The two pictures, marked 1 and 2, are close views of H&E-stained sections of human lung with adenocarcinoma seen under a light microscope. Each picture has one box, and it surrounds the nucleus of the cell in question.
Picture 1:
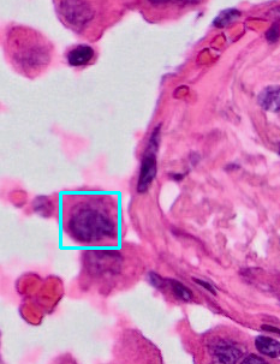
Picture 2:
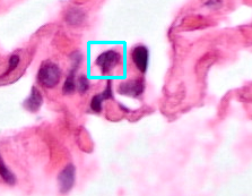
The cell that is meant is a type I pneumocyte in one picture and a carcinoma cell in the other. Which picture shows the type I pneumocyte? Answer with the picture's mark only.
2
